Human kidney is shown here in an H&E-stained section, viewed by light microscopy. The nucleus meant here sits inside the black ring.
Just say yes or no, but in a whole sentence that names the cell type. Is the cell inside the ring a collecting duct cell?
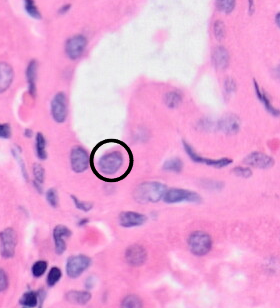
No, rather than being a collecting duct cell, the cell inside the ring is a loop of Henle or distal tubule cell.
